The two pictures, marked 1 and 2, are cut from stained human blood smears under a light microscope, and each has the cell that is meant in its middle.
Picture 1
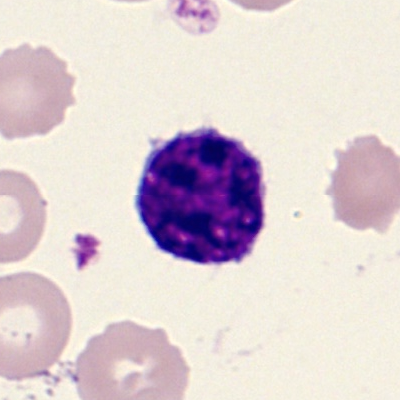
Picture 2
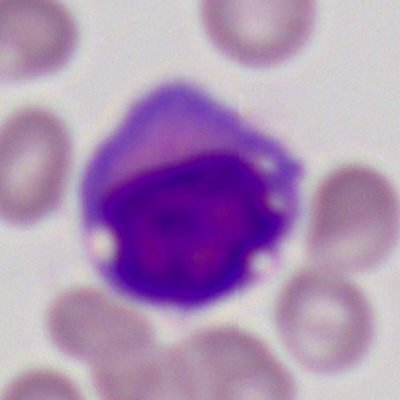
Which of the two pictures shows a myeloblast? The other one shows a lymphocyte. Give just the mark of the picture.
2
